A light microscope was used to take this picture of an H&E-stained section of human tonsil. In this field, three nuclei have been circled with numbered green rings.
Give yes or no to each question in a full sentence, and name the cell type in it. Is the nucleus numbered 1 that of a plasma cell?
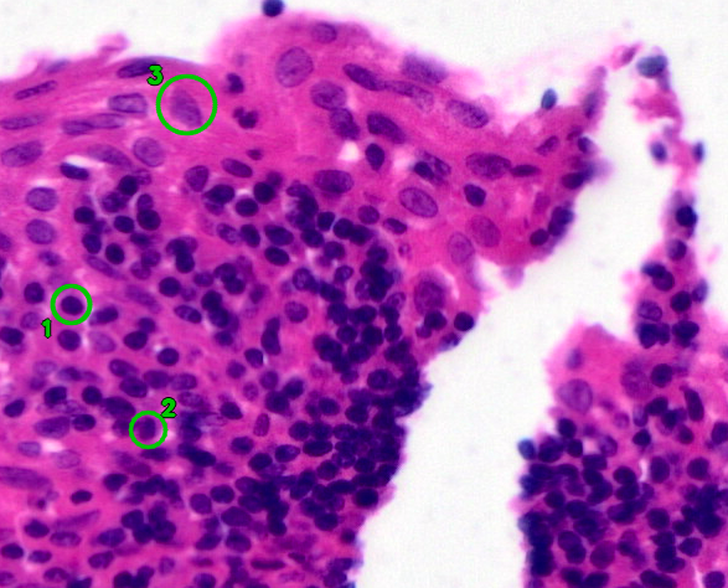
Yes, within this section, cell number 1 is a plasma cell.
